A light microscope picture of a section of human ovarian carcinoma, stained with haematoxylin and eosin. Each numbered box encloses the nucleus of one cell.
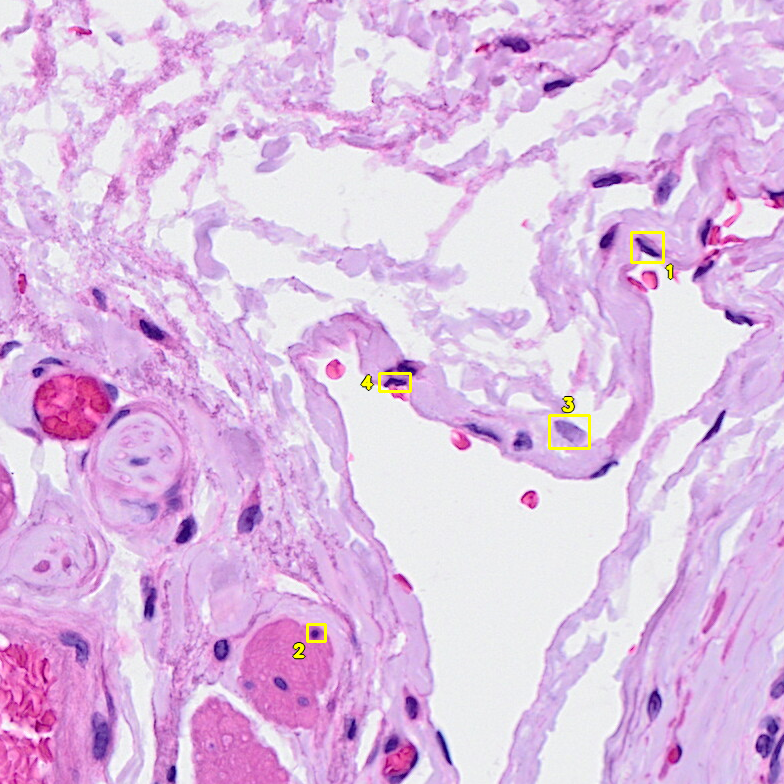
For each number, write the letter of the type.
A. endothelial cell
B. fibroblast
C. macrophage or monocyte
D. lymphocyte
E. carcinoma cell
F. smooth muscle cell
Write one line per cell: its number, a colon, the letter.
1: A
2: F
3: B
4: A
